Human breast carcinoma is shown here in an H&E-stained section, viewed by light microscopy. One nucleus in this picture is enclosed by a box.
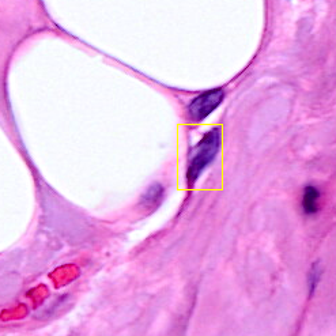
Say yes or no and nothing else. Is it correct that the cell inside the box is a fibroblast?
yes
